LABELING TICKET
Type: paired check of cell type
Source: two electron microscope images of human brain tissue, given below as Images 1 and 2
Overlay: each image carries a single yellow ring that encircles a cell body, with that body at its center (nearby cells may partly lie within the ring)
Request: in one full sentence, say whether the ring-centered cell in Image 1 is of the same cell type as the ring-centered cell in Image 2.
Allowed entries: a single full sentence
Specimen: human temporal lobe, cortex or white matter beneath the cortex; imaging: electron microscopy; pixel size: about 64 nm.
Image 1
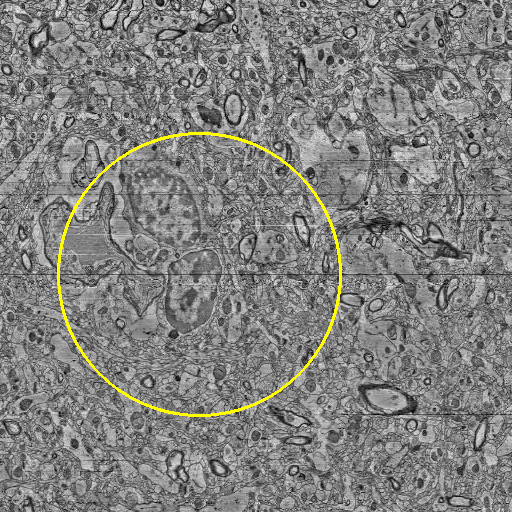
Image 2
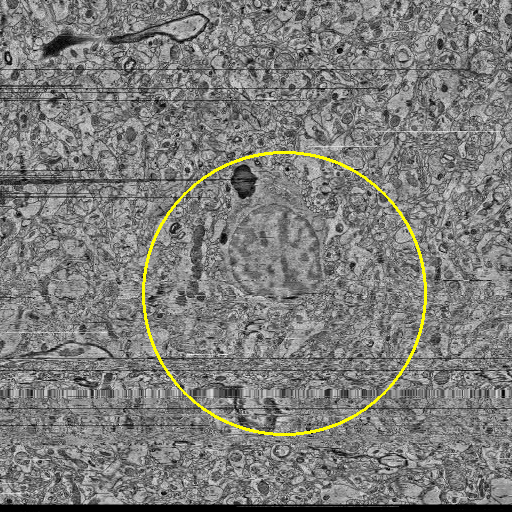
No, the cells centered in the rings of Image 1 and Image 2 are of two types.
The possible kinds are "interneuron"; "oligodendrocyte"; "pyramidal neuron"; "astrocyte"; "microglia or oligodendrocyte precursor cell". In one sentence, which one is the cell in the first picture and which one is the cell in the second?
The cell ringed in the second picture is an oligodendrocyte, whereas the one ringed in the first is a microglial cell or oligodendrocyte precursor cell.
